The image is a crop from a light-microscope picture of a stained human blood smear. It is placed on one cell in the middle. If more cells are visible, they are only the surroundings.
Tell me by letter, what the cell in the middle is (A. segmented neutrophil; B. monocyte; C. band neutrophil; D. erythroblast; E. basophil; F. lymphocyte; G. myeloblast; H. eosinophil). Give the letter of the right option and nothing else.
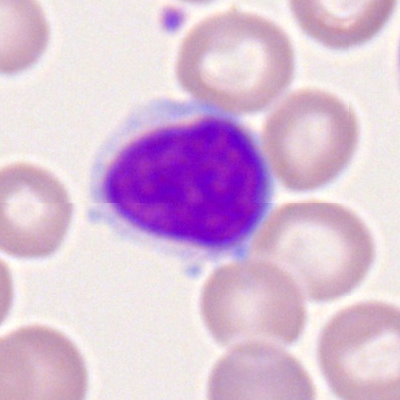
F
